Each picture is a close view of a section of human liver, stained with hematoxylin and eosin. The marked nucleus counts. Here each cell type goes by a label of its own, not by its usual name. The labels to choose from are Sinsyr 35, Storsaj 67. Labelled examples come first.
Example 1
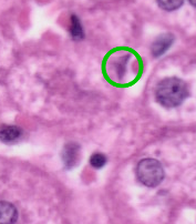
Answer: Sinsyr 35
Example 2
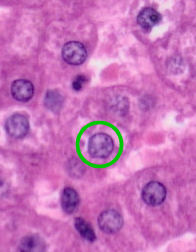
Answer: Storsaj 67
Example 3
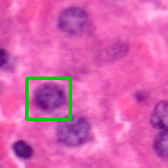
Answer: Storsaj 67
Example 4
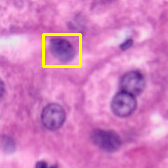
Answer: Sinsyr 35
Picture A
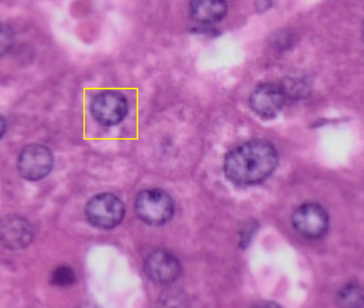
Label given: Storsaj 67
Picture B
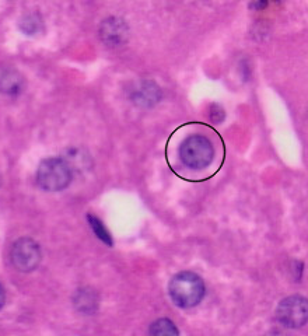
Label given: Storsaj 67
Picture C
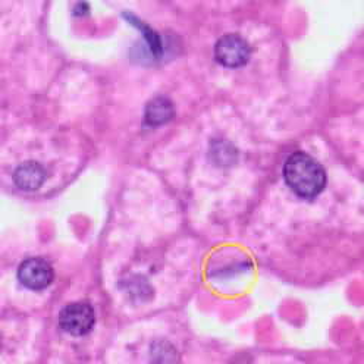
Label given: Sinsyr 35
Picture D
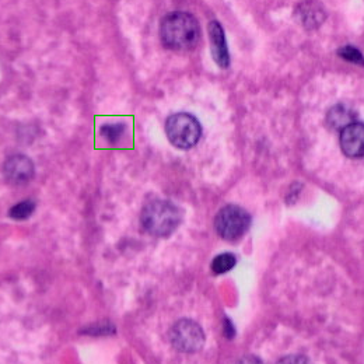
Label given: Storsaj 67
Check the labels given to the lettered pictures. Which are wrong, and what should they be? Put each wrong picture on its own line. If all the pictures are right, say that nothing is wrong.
D is labelled Storsaj 67; correct label: Sinsyr 35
